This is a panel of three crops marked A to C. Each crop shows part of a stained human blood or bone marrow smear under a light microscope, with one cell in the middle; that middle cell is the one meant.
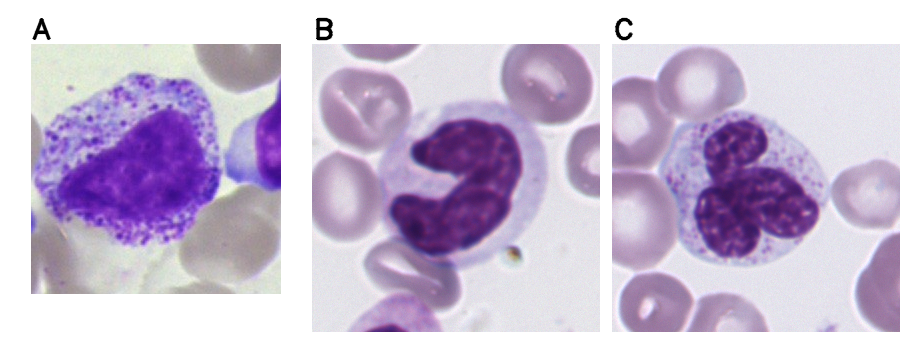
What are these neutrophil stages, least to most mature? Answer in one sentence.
From least to most mature, the crops are ordered crop A (a myelocyte), crop B (a band neutrophil) and crop C (a segmented neutrophil).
